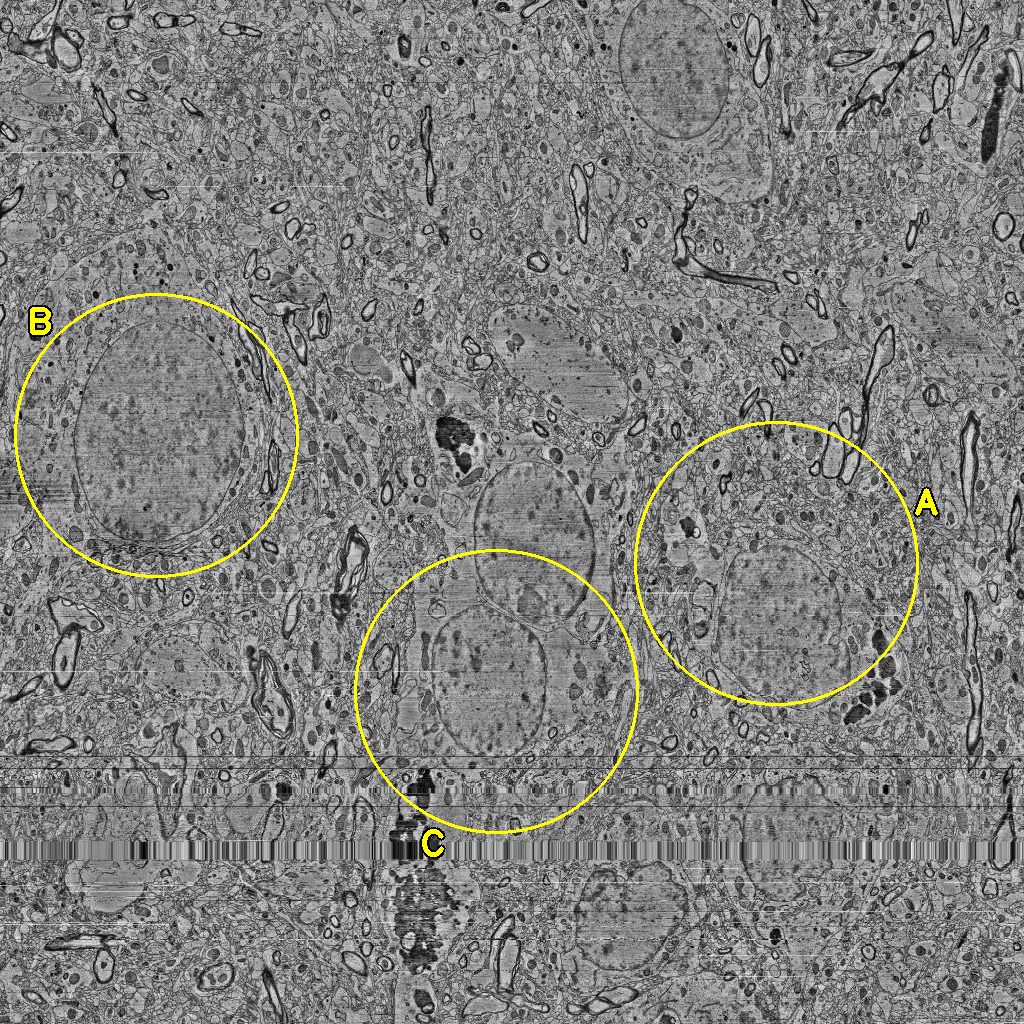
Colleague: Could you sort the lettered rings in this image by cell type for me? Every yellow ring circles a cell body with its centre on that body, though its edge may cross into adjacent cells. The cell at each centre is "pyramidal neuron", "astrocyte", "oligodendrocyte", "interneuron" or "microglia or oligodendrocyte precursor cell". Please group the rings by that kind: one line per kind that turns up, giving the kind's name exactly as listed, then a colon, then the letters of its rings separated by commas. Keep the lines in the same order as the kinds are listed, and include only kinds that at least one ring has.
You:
pyramidal neuron: B
astrocyte: C
interneuron: A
